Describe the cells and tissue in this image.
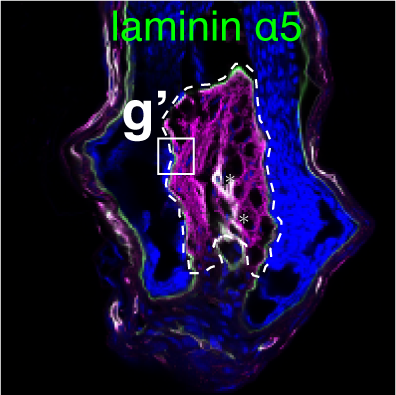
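This is the bulb of a growing hair follicle, with densely packed blue nuclei of the epithelial matrix enclosing an elongated core of dermal papilla outlined by a dashed line. The papilla core is filled with a magenta fibrous meshwork and contains small tubular, vessel-like profiles, while a thin green line runs along the border between the papilla and the surrounding epithelium and around the outer surface of the bulb.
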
